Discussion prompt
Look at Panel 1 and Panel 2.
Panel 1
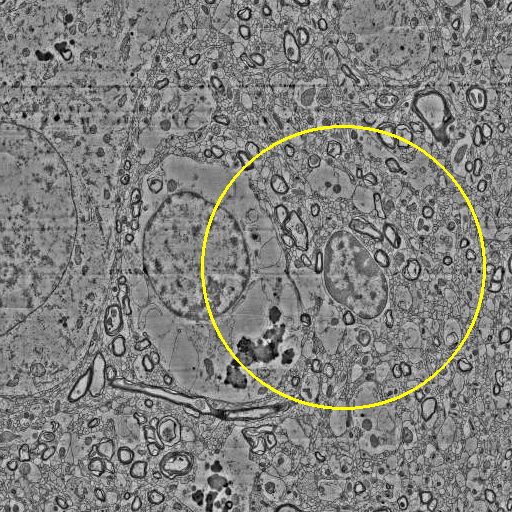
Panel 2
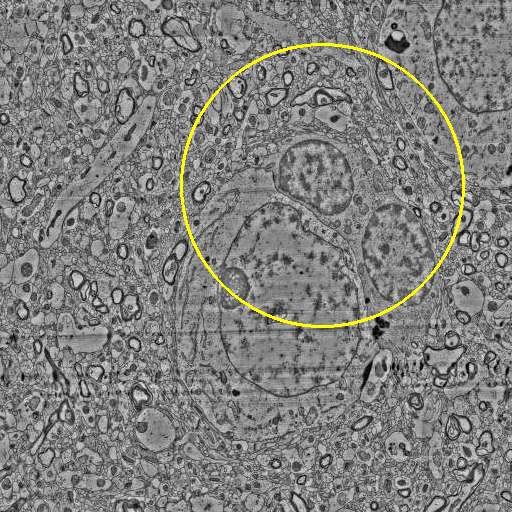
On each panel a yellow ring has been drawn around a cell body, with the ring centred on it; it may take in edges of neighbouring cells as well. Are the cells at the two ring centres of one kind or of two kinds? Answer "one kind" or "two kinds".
two kinds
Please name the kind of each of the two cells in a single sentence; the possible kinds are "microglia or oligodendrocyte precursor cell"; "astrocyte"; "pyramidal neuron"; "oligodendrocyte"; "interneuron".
In the first picture the ring is centred on a microglial cell or oligodendrocyte precursor cell, and in the second on an oligodendrocyte.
